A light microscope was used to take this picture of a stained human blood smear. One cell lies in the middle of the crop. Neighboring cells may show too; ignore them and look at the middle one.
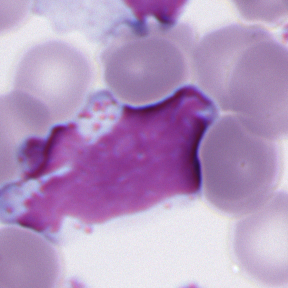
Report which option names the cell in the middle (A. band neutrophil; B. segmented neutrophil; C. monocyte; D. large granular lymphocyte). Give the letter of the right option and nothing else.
D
